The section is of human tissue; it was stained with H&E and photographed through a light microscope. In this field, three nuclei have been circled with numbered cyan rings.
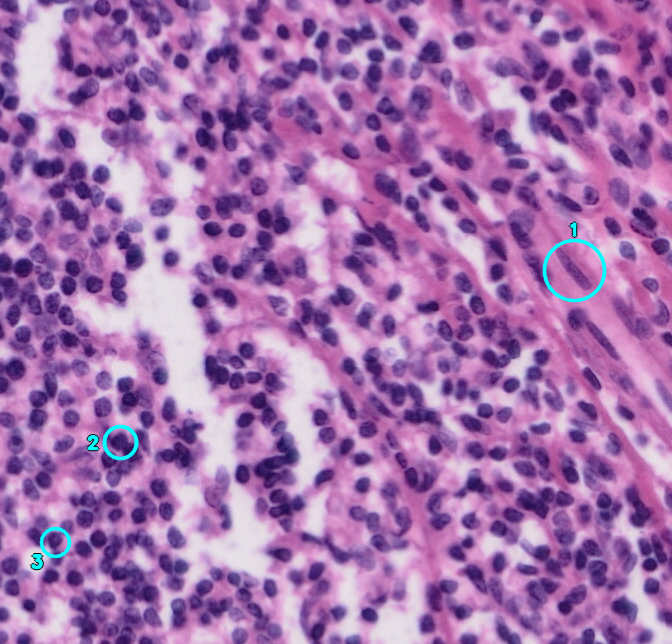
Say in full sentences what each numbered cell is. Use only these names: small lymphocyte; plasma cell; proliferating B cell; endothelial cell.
Cell 1 is an endothelial cell, cell 2 is a small lymphocyte and cell 3 is a small lymphocyte.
